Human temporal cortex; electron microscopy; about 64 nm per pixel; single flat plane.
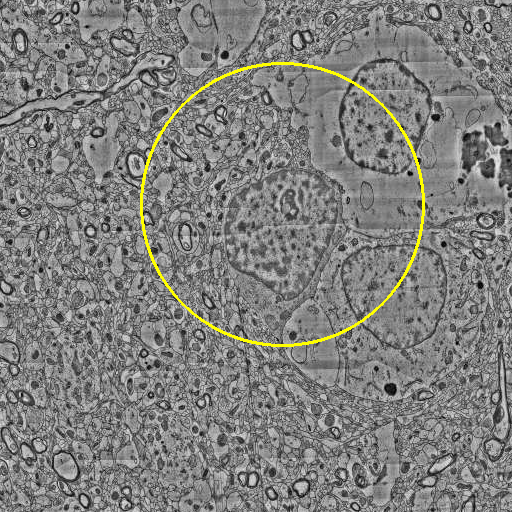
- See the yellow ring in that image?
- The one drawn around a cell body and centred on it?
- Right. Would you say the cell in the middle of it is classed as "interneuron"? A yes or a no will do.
no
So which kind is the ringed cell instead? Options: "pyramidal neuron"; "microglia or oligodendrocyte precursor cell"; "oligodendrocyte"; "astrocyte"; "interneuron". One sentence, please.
What the ring is centred on is an oligodendrocyte.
